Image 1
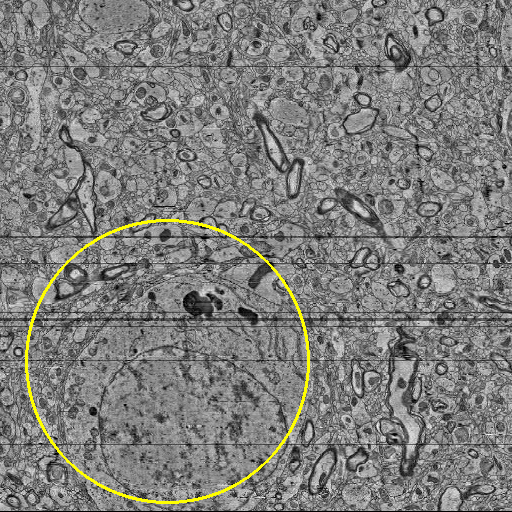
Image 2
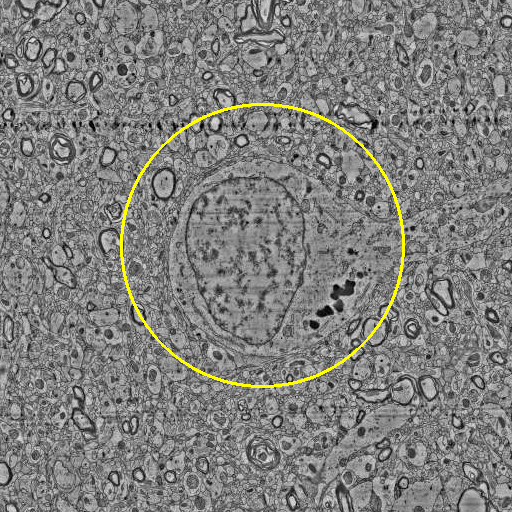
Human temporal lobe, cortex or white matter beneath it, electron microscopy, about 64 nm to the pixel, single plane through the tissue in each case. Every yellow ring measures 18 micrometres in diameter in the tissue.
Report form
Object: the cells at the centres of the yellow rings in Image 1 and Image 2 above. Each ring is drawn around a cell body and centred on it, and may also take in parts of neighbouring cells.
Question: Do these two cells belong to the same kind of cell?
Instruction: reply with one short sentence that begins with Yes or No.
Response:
Yes, both belong to the same kind of cell.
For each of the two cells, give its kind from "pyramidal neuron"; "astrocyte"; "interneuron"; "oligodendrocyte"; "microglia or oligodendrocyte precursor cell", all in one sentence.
The cell at the ring centre is a pyramidal neuron in both pictures.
